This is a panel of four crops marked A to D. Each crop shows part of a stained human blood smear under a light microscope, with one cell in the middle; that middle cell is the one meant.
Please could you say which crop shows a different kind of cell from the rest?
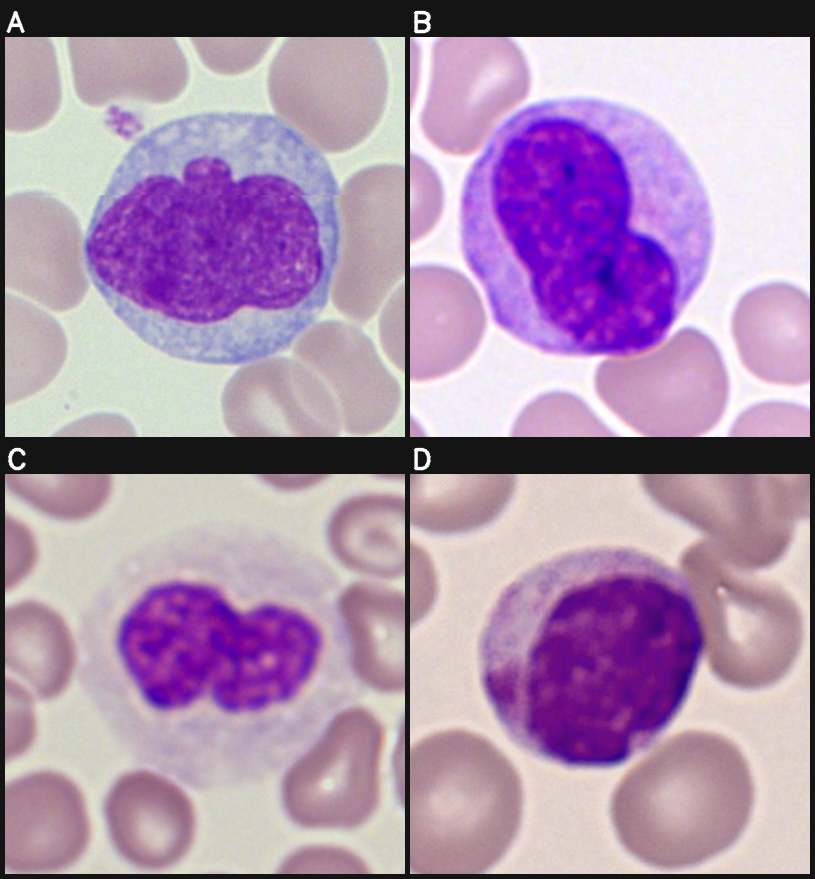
D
